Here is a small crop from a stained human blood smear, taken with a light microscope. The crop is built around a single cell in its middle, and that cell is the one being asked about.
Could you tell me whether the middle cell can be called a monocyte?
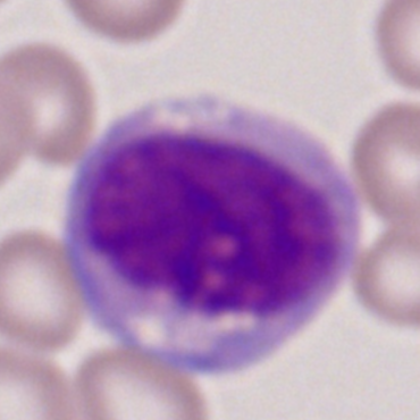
yes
